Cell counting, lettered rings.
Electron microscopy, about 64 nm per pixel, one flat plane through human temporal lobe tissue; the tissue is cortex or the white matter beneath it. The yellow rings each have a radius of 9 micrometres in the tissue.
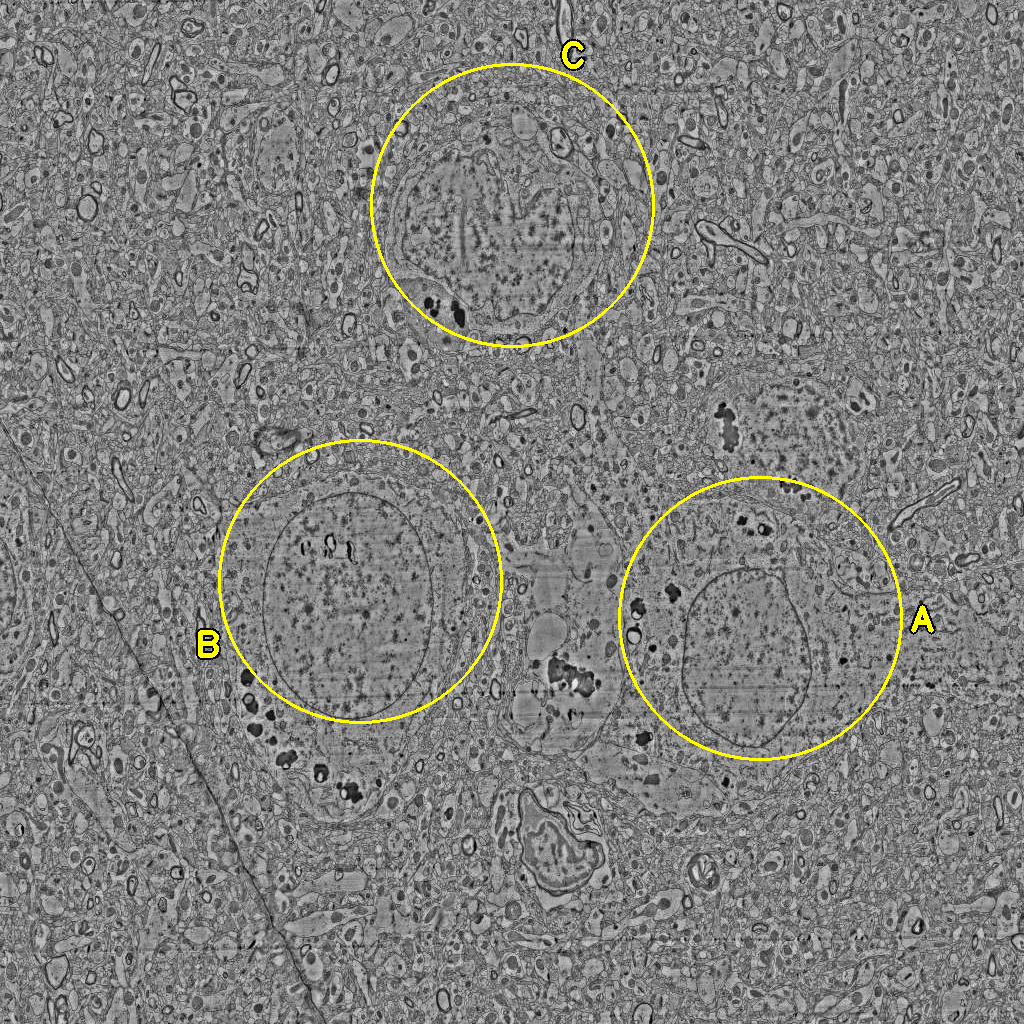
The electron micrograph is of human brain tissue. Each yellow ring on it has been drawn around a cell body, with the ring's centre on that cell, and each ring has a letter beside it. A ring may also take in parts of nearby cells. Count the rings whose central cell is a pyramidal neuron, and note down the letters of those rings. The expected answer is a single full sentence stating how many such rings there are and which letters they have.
Those two rings lettered A and B are centred, each of them, on a pyramidal neuron.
